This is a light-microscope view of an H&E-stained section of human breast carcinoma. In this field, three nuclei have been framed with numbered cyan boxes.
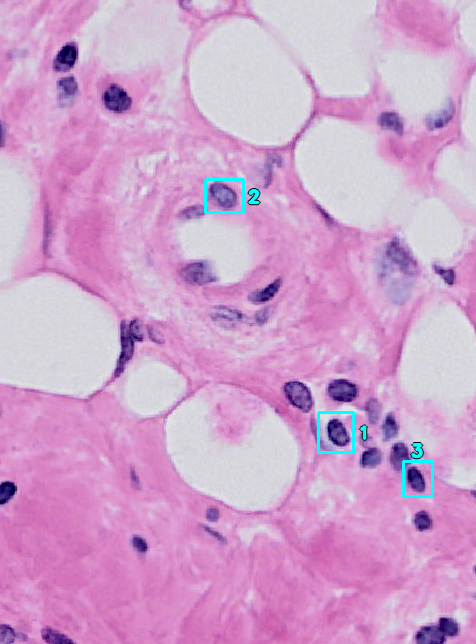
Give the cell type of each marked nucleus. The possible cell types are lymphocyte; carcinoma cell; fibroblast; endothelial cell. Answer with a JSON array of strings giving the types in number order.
["lymphocyte", "endothelial cell", "lymphocyte"]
